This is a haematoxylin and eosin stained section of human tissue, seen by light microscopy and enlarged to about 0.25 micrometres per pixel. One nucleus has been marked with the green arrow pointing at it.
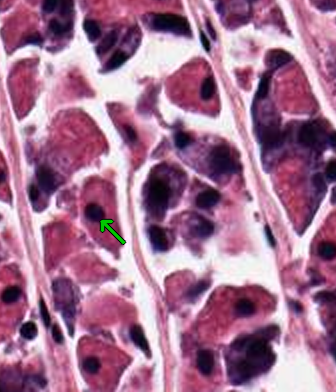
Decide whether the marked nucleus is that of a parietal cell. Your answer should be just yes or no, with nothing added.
yes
